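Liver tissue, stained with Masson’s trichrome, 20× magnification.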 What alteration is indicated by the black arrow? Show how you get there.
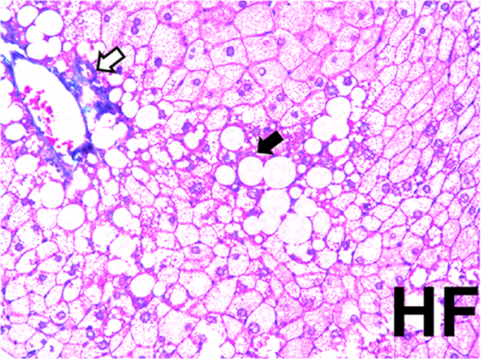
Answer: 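The arrow points to large round clear vacuoles in the liver cells. Many vacuoles are bigger than a nucleus and fill much of the cell.
Hence: macrovesicular steatosis.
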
